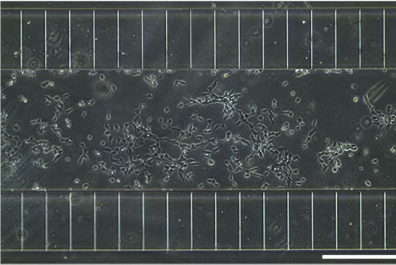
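This is a culture of small, phase-bright cells growing in the wide central channel of a microfluidic device. Narrow parallel microchannels run along both sides of that channel.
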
